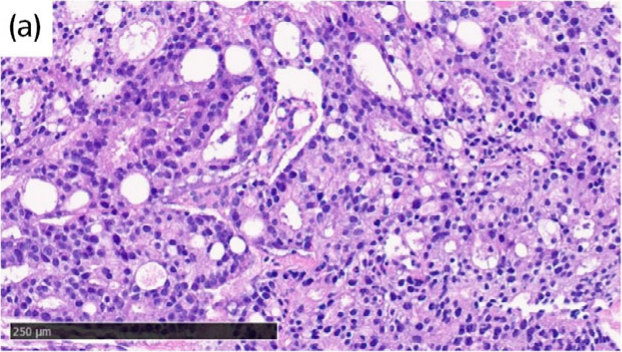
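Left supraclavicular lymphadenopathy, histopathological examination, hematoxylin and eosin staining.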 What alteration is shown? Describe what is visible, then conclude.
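Cribriform pattern. Many round, punched-out lumens lie within sheets of tumour cells. Cells surround and bridge between these gland-like spaces.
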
